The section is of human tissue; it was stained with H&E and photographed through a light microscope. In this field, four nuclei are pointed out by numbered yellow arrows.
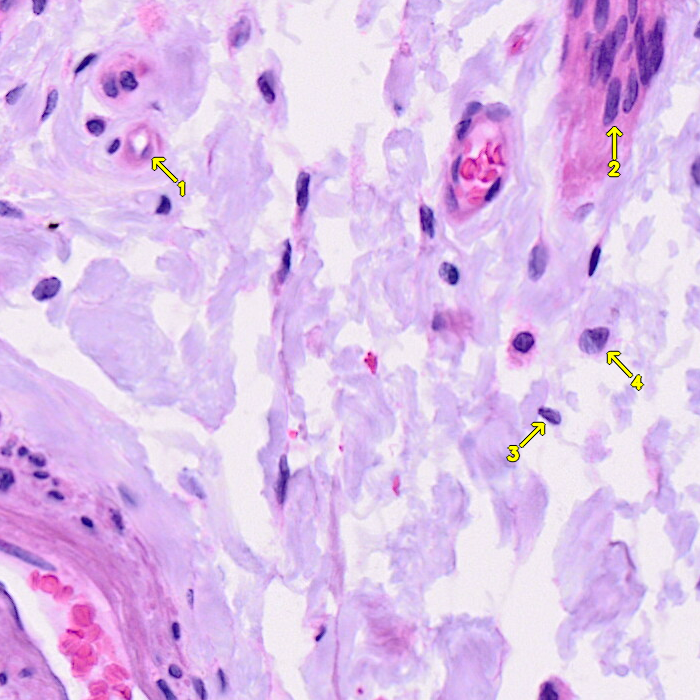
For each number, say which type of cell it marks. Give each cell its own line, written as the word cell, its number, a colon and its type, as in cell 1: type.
cell 1: endothelial cell
cell 2: smooth muscle cell
cell 3: fibroblast
cell 4: fibroblast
